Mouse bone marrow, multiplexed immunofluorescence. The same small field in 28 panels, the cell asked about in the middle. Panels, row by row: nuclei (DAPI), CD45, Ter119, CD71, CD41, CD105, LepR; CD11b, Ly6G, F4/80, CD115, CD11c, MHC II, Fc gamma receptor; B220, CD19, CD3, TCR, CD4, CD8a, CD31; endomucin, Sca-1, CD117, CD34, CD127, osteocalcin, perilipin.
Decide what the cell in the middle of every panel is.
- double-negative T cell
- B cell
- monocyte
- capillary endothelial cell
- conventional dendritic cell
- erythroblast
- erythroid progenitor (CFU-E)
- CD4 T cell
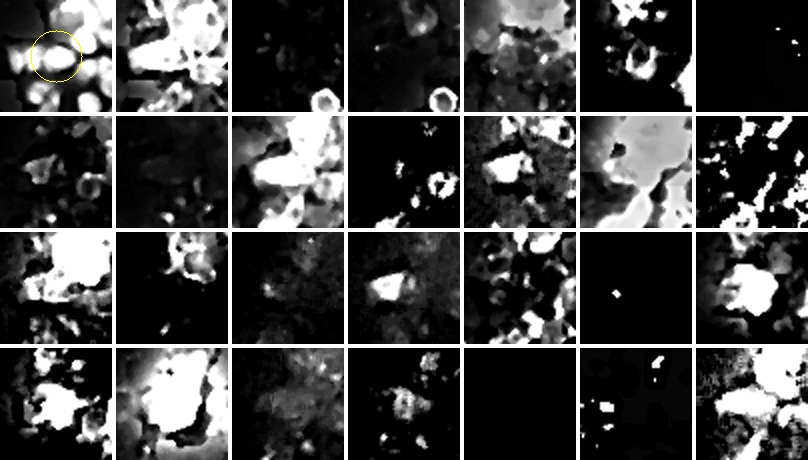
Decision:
conventional dendritic cell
